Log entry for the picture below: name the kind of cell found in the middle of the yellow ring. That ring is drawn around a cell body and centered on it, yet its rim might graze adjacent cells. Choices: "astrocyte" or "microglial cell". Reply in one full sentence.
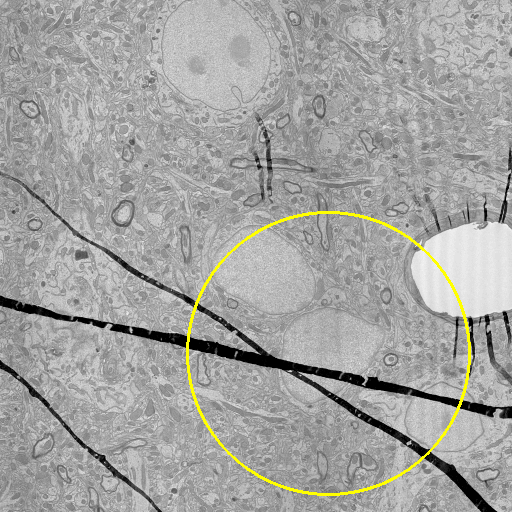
The cell in the middle of the yellow ring in this picture is an astrocyte.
